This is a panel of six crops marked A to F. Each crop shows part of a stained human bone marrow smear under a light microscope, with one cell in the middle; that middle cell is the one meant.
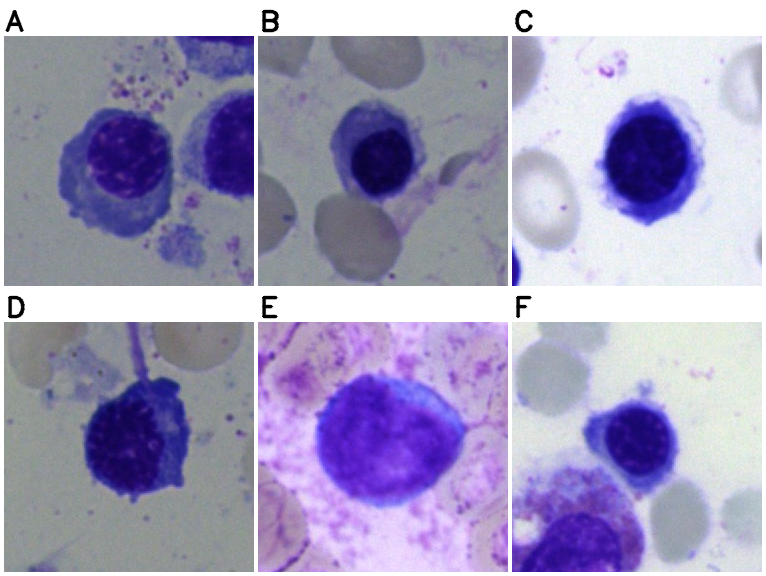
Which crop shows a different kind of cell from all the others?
E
